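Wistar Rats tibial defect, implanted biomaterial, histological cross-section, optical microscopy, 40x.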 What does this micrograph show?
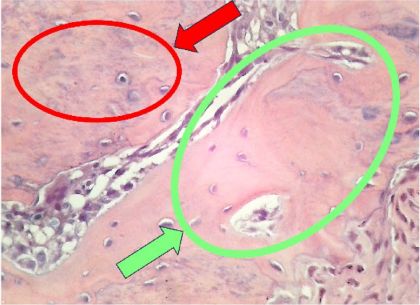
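Pink bone matrix holds scattered cells with small dark nuclei sitting singly in clear lacunae, and in one region a small canal with cells in its lumen is surrounded by smooth, dense matrix. A narrow band of loose, cell-rich tissue with fat vacuoles runs between bone areas, and one bone area has a more mottled, purplish matrix with rounder lacunae. The smooth region with small lacunae and a canal is more mature bone with osteocytes and vascularization, while the mottled region is immature newly formed bone.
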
